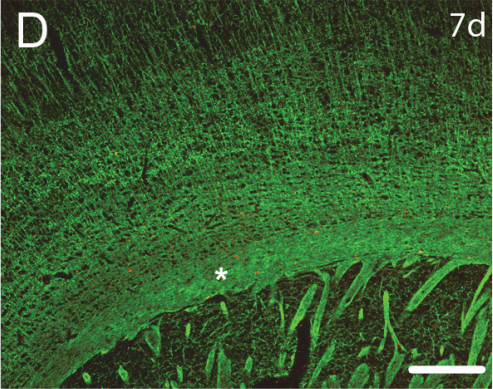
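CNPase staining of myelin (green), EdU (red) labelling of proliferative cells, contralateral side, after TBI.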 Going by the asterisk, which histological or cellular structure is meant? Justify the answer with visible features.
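External capsule. The asterisk sits on a band of densely green fibres running diagonally across the panel. Above the band lies cortex with radially oriented fibres. Below the band lie separate bundles of fibres cut in a mottled dark tissue.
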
